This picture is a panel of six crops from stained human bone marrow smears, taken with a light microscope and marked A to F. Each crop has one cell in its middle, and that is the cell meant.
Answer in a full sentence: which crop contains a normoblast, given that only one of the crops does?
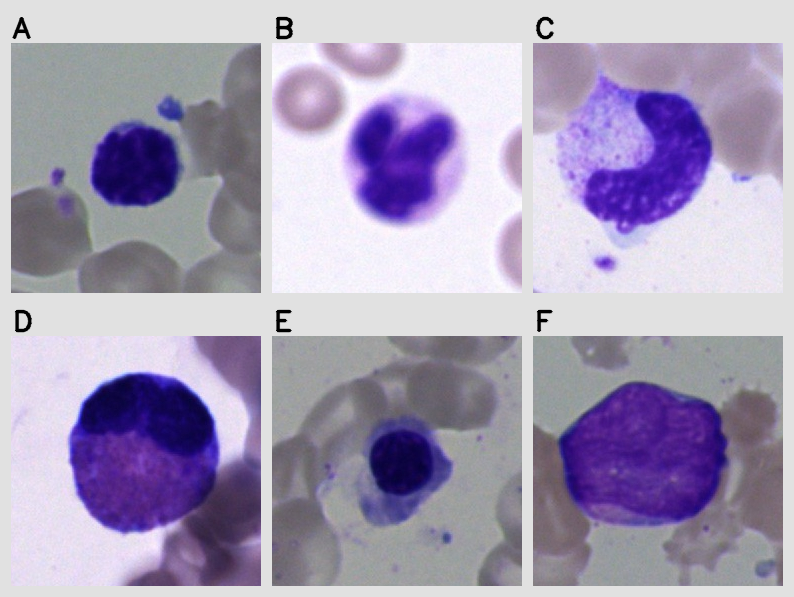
Of all the crops, crop E is the one showing a normoblast.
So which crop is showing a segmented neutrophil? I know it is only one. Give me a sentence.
Crop B is the right one; it is the crop showing a segmented neutrophil.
